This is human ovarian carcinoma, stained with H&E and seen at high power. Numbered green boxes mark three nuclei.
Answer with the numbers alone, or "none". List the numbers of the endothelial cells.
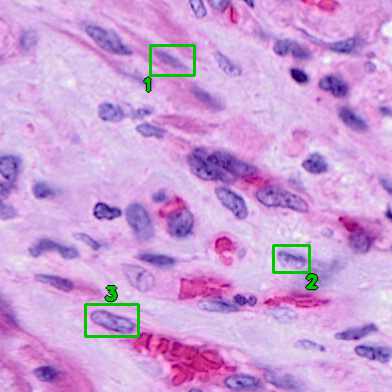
3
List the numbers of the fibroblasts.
2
